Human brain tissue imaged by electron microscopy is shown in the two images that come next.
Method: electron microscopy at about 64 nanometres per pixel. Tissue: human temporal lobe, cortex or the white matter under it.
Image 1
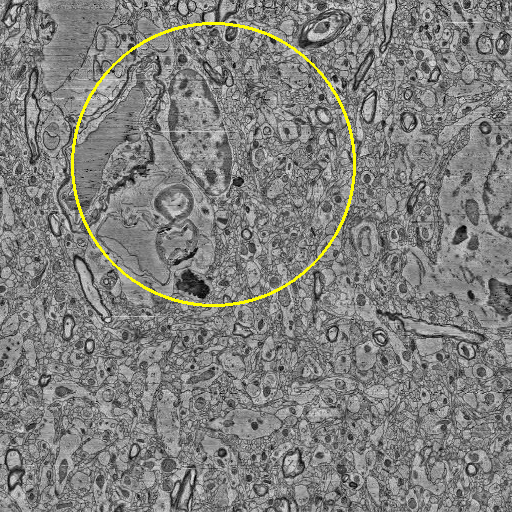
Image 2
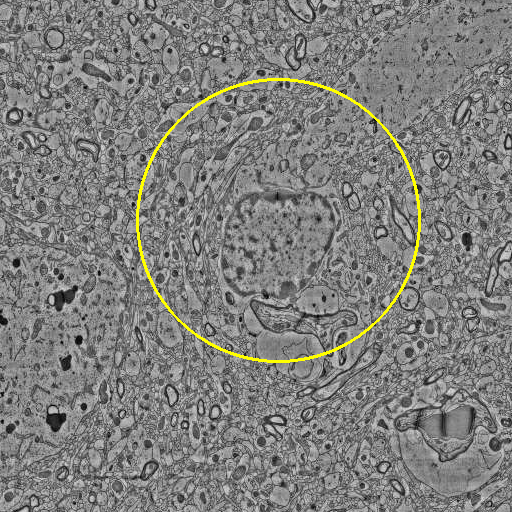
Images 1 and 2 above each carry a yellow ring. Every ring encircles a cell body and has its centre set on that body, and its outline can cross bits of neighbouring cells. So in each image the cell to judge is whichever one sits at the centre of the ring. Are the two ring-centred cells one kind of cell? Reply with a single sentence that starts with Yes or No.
Yes, in Image 1 and Image 2 the cells at the centres of their rings fall into one type.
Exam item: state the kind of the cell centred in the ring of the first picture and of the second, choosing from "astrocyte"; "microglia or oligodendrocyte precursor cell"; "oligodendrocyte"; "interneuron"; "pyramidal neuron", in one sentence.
The cell in the first picture is a microglial cell or oligodendrocyte precursor cell, and so is the one in the second.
